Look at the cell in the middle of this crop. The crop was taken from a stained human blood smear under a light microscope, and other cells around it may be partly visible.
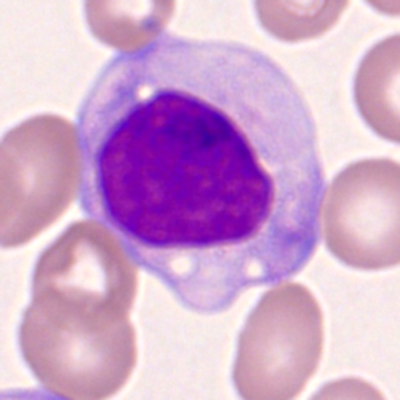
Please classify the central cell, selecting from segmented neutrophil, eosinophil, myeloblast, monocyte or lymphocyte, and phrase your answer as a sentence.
The middle of this crop holds a monocyte.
